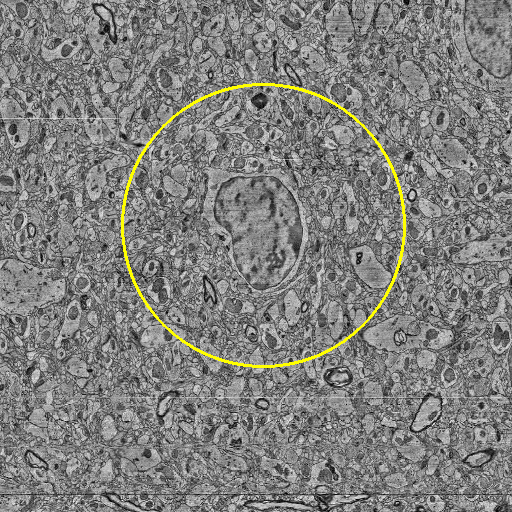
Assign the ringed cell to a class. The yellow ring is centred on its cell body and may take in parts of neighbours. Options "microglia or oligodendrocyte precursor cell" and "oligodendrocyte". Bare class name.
microglia or oligodendrocyte precursor cell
